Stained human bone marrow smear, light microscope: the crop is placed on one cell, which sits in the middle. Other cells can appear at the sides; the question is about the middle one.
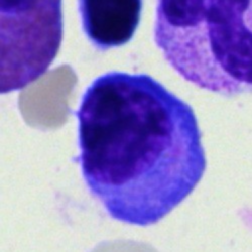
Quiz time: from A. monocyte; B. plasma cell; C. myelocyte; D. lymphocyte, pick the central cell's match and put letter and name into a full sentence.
The central cell is a plasma cell, which makes option B the right answer.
